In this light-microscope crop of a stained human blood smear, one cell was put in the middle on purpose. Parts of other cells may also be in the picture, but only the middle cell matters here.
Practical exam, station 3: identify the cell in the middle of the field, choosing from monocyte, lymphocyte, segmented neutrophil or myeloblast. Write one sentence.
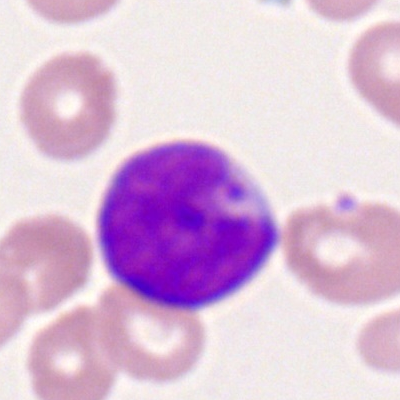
The centrally located cell in the crop is a myeloblast.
